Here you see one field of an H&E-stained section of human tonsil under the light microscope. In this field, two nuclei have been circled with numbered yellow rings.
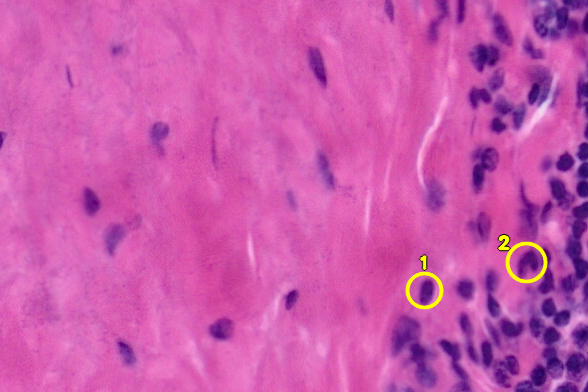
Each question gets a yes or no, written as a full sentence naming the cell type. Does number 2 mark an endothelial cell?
Yes, the cell that goes by number 2 is an endothelial cell.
